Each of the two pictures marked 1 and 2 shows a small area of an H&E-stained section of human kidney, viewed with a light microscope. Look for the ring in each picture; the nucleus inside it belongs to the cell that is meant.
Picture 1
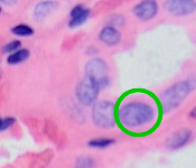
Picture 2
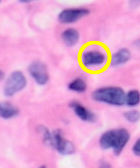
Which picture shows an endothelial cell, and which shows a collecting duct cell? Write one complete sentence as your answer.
Picture 1 is of a collecting duct cell, and picture 2 is of an endothelial cell.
